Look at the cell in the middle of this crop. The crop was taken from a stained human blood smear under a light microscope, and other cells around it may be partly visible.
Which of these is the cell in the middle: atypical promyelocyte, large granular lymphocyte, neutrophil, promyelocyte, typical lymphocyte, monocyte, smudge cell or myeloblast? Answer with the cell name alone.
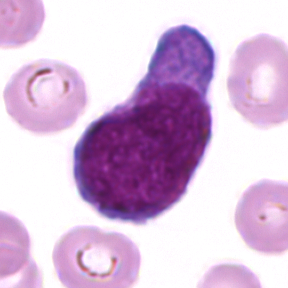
atypical promyelocyte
